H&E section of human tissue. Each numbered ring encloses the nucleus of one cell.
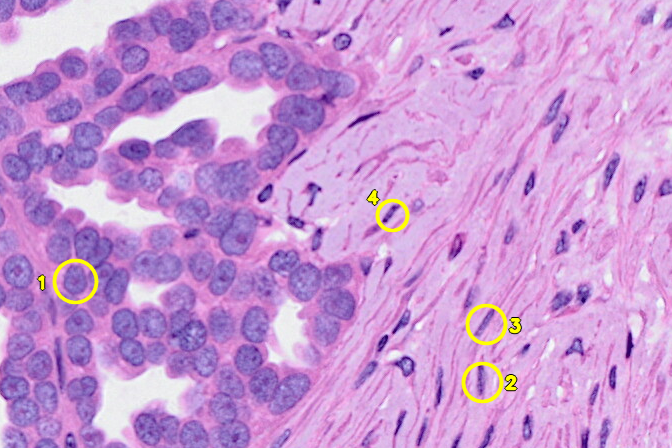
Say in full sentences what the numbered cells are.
Cell 1 is a carcinoma cell. Cells 2, 3 and 4 are fibroblasts.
